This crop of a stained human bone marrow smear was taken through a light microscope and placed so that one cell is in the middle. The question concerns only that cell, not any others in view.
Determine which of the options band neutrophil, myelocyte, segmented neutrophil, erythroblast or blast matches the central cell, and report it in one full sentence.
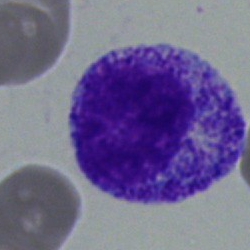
The cell at the central position in this crop is a myelocyte.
